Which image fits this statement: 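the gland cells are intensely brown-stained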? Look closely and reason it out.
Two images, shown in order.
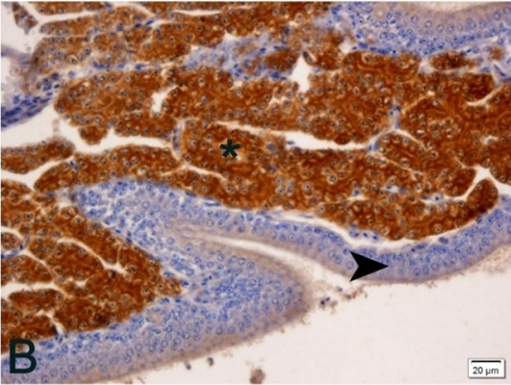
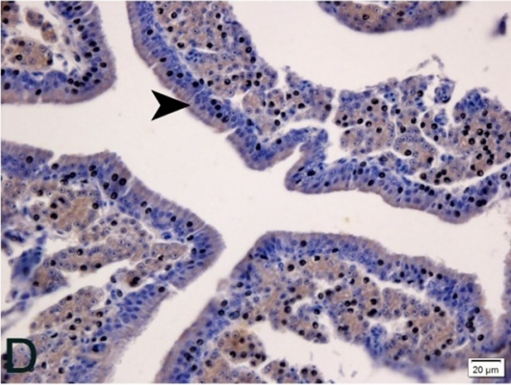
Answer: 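The first image. First image: gland cells beneath the lining are filled with dense dark brown stain.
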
